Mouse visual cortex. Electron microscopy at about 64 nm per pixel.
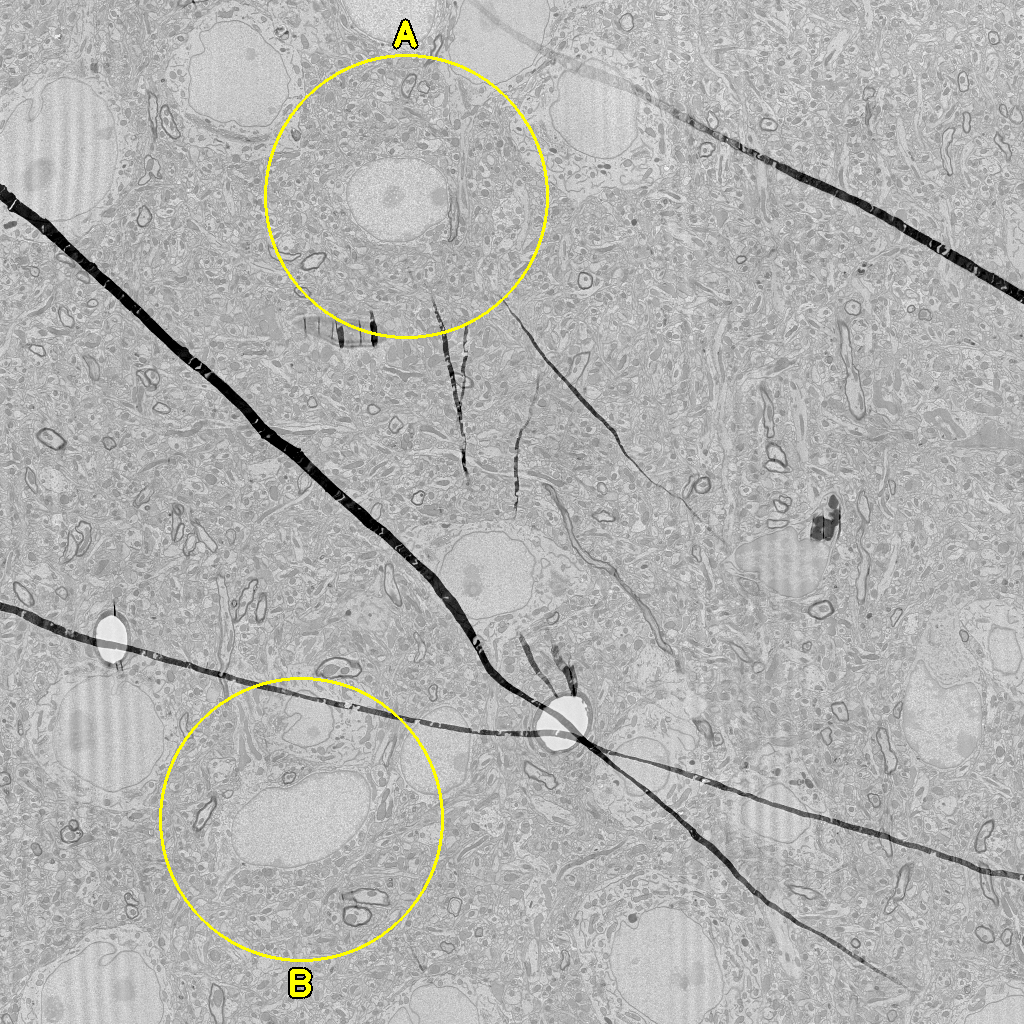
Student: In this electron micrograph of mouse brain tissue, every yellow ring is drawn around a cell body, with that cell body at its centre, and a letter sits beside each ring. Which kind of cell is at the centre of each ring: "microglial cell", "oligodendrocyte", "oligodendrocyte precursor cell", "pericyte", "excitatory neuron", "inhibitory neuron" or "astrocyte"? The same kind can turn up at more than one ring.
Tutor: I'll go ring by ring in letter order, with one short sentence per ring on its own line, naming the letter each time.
Ring A: the cell at its centre is an astrocyte.
Ring B: the cell at its centre is an astrocyte.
